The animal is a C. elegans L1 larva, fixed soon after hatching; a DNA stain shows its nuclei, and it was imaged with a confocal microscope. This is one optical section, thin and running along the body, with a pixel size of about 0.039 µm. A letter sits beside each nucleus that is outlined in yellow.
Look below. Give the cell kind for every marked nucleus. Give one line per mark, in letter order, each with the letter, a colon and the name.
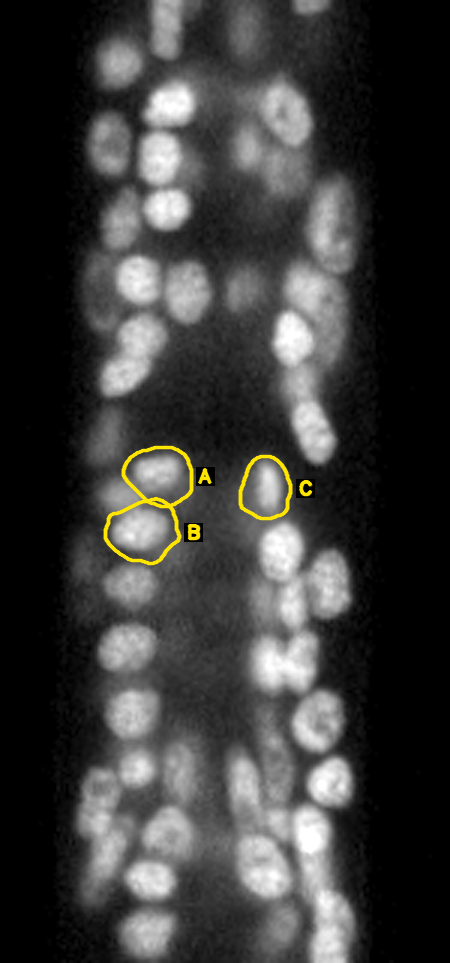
A: GLR cell
B: neuron
C: GLR cell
